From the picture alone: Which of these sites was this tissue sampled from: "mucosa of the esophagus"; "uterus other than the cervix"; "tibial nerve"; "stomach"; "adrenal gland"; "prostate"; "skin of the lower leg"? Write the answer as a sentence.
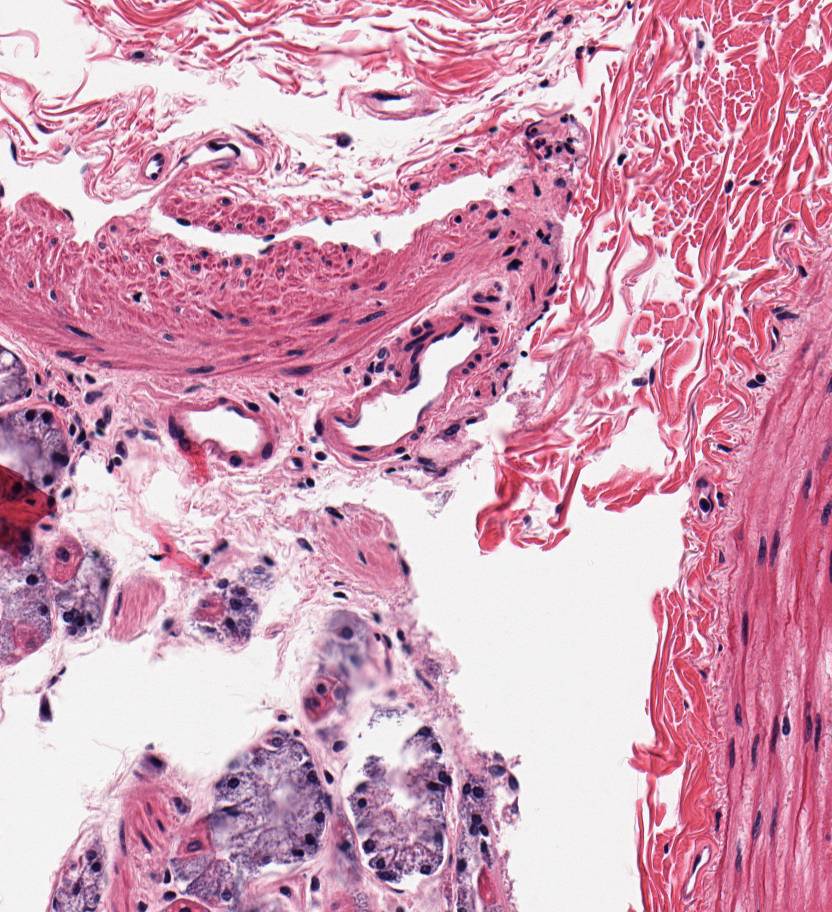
The site this tissue was sampled from is the stomach.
